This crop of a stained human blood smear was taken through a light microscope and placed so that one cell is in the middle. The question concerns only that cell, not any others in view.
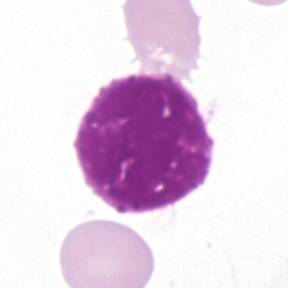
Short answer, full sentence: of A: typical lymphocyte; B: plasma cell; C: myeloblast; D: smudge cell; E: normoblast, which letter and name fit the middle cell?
Option D is the right choice, the central cell being a smudge cell.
